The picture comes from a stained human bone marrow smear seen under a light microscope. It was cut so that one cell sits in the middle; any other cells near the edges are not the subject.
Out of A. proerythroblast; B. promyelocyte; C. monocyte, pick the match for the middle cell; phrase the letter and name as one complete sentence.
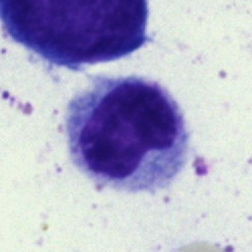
The cell in the middle is correctly identified as a monocyte in option C.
